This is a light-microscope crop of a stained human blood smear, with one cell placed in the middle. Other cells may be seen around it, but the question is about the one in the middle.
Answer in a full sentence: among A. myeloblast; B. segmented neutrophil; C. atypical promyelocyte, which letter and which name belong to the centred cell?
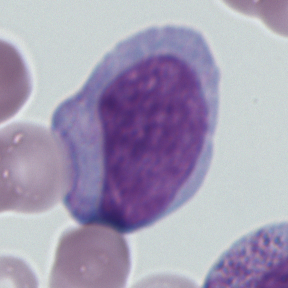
Option C is the correct option, with the middle cell being an atypical promyelocyte.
